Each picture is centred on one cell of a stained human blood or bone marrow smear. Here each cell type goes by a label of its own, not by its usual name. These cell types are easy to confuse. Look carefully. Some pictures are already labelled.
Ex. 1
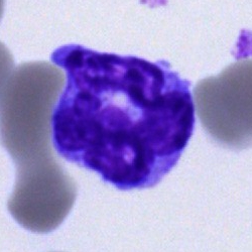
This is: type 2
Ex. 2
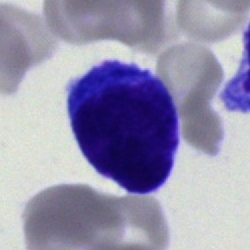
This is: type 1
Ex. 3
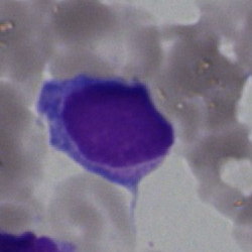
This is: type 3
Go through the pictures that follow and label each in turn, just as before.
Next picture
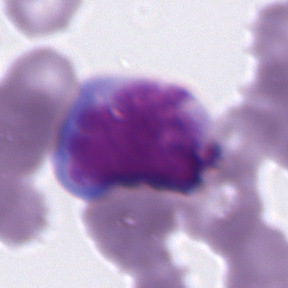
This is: type 1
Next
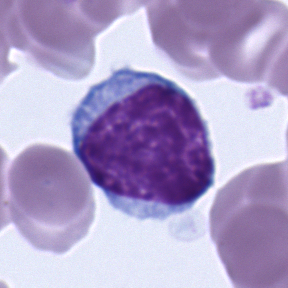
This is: type 3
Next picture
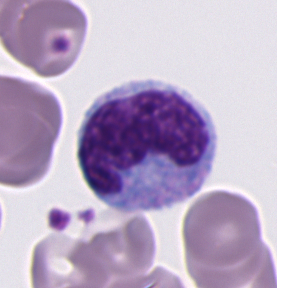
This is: type 2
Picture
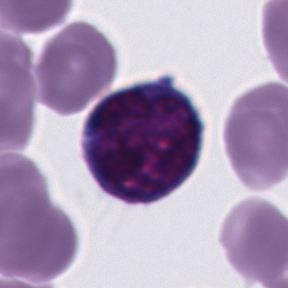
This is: type 1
